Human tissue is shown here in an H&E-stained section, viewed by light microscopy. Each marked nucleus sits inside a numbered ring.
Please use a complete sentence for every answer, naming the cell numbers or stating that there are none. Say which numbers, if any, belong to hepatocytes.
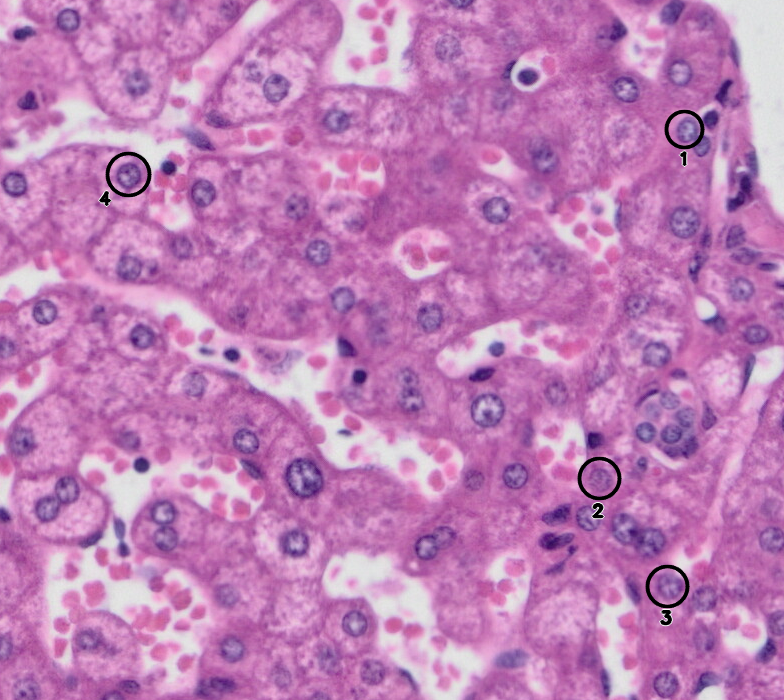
Marked by the numbers 2, 3 and 4 are cells that are hepatocytes.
